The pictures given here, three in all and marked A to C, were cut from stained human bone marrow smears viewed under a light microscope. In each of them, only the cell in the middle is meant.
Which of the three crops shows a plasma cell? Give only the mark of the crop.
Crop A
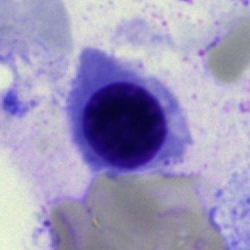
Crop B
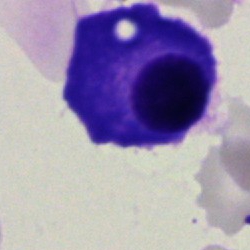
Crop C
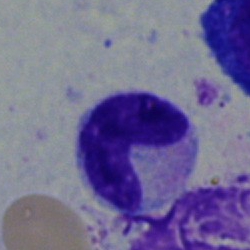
B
